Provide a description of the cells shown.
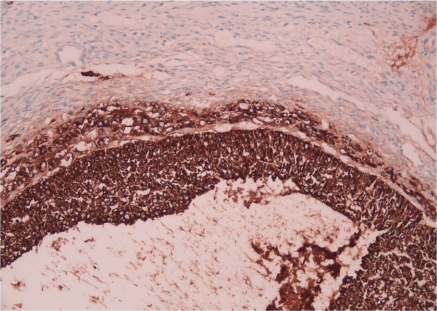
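This follicle wall shows granulosa cells and inner theca cells strongly stained brown. The granulosa cells form a thick, densely packed band lining the cavity, and their cytoplasm is intensely brown. A thinner brown-stained layer of inner theca cells lies just outside it. The outer spindle-cell stroma is largely pale, with only small focal brown areas. Brown-stained material also spills into the fluid of the cavity.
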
